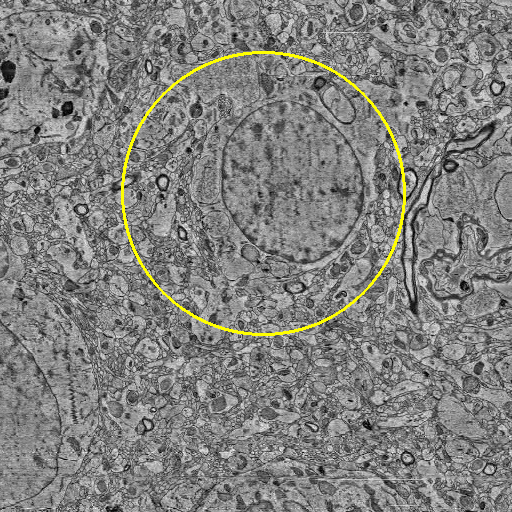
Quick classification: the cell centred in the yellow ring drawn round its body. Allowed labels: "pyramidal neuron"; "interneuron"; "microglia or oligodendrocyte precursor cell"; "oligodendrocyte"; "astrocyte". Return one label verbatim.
astrocyte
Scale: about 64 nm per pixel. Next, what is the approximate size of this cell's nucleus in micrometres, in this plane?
The nucleus of the ringed cell is approximately 11 by 9 micrometres in this plane.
